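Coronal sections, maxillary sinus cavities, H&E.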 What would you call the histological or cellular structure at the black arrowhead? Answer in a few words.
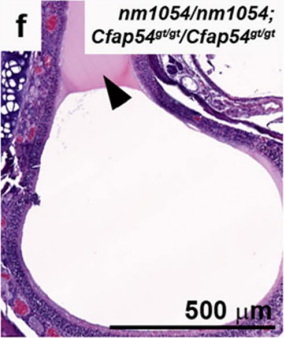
mucus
